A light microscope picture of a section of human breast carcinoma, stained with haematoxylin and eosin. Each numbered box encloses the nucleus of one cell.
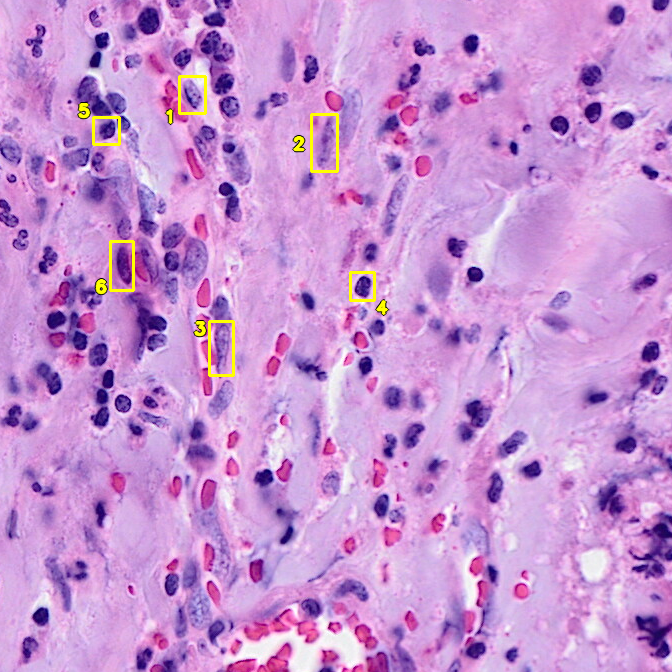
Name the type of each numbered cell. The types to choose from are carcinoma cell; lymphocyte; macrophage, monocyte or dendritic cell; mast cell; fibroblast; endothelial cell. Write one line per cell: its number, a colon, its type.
1: endothelial cell
2: fibroblast
3: endothelial cell
4: lymphocyte
5: lymphocyte
6: endothelial cell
